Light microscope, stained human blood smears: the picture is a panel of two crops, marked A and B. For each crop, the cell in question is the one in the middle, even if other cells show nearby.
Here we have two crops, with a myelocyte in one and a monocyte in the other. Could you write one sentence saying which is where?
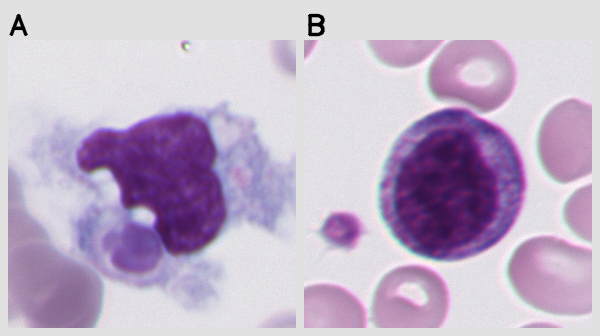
The cell in crop A is a monocyte, and the one in crop B is a myelocyte.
